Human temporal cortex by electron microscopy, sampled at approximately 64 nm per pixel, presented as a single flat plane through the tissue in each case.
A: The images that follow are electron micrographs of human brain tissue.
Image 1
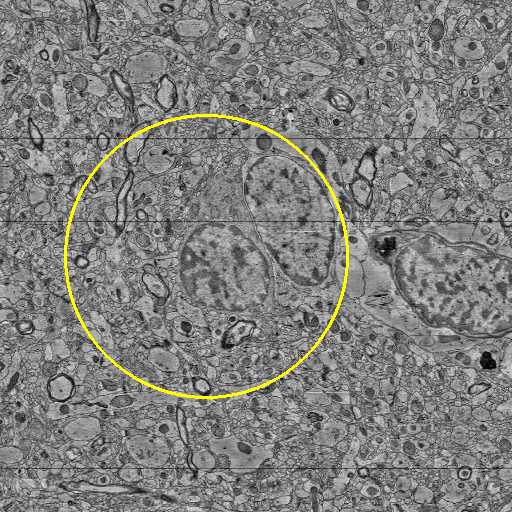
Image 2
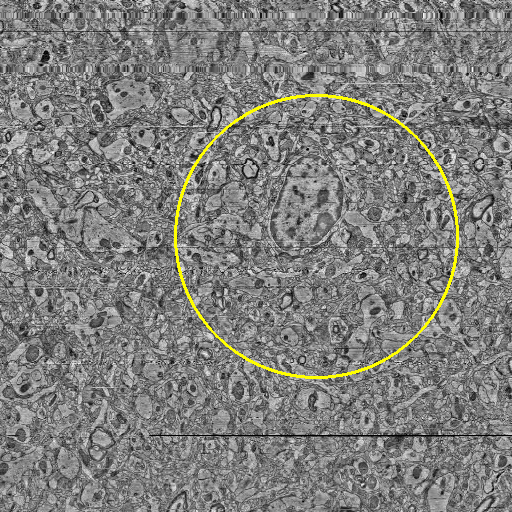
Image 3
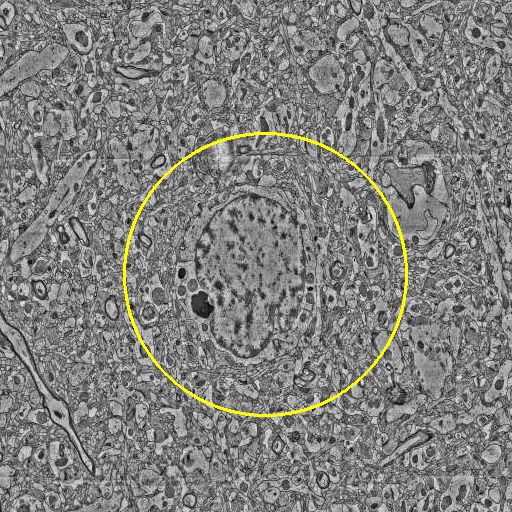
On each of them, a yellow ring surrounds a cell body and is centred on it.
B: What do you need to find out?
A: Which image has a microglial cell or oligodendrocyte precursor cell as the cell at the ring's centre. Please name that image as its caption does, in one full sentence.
Image 2 is the one whose ring has the sought cell at its centre.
